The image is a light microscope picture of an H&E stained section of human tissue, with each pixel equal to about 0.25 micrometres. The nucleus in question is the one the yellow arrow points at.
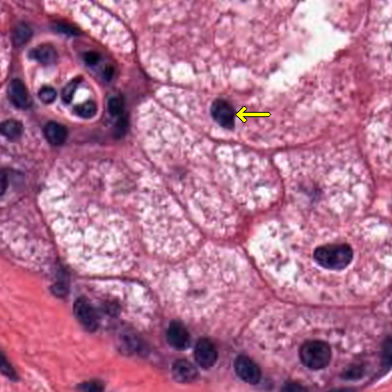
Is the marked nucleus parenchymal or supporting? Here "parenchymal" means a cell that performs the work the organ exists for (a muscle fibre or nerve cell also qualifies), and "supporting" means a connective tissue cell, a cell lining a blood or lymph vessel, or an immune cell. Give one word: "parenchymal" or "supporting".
parenchymal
